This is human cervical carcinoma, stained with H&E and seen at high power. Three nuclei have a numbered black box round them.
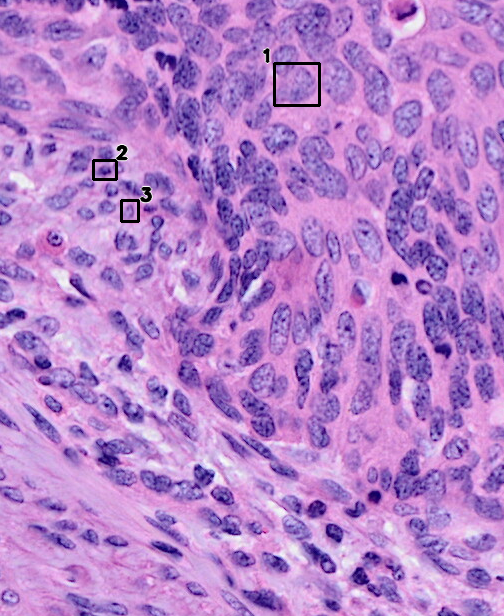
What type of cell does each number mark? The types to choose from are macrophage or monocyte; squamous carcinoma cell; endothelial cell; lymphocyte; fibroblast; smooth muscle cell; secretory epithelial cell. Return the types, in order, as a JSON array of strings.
["squamous carcinoma cell", "smooth muscle cell", "smooth muscle cell"]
